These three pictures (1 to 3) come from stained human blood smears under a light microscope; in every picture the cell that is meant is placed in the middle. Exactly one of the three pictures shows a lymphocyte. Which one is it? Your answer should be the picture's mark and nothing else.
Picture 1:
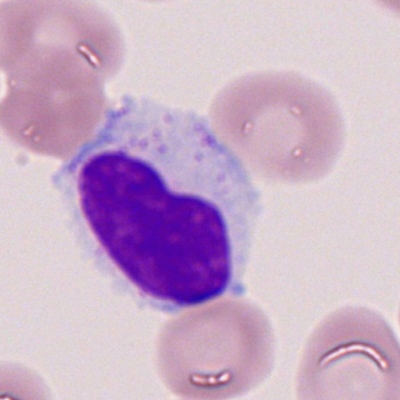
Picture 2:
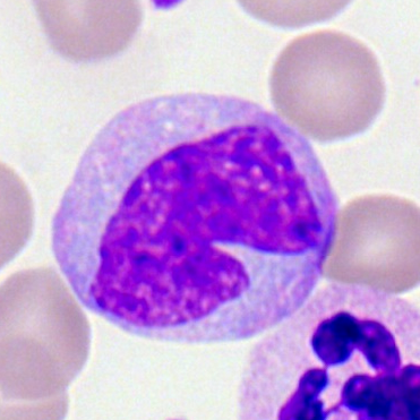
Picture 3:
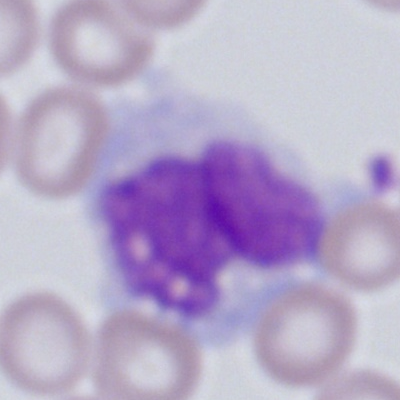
1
